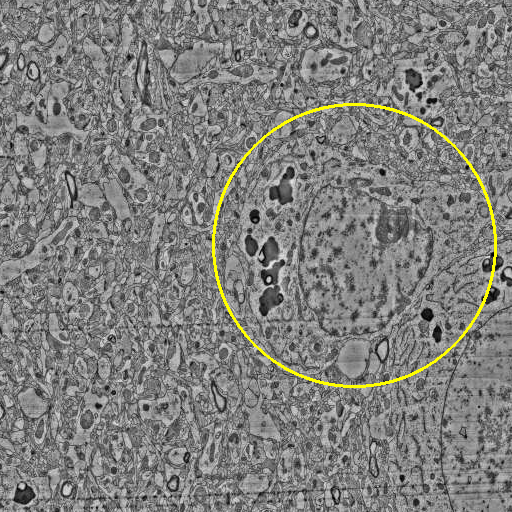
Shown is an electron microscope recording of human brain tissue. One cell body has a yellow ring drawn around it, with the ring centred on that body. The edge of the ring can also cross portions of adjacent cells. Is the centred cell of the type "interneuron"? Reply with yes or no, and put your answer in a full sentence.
Yes, in the picture, the cell on which the ring is centred has this type.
